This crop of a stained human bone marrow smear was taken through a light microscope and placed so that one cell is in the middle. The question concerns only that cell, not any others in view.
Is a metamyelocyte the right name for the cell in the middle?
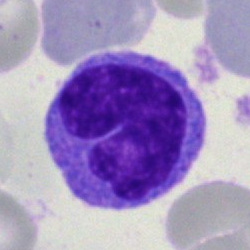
no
